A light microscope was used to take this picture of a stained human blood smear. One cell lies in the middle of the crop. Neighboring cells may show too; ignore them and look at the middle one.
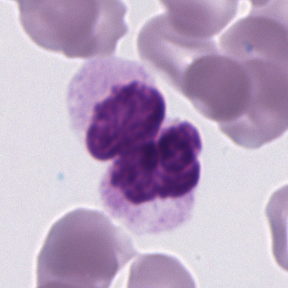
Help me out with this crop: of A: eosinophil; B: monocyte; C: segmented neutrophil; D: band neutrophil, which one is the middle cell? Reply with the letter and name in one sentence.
The cell at the centre, correctly named in option C, is a segmented neutrophil.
